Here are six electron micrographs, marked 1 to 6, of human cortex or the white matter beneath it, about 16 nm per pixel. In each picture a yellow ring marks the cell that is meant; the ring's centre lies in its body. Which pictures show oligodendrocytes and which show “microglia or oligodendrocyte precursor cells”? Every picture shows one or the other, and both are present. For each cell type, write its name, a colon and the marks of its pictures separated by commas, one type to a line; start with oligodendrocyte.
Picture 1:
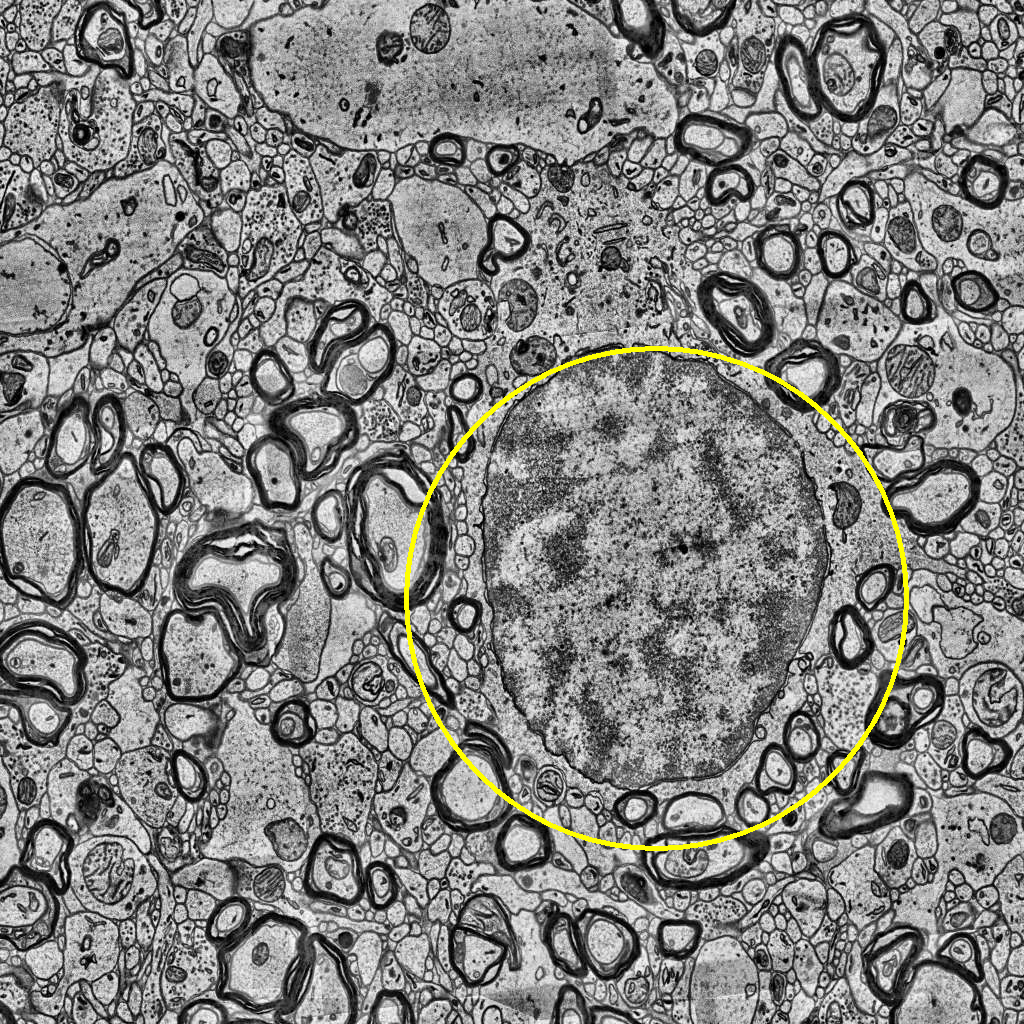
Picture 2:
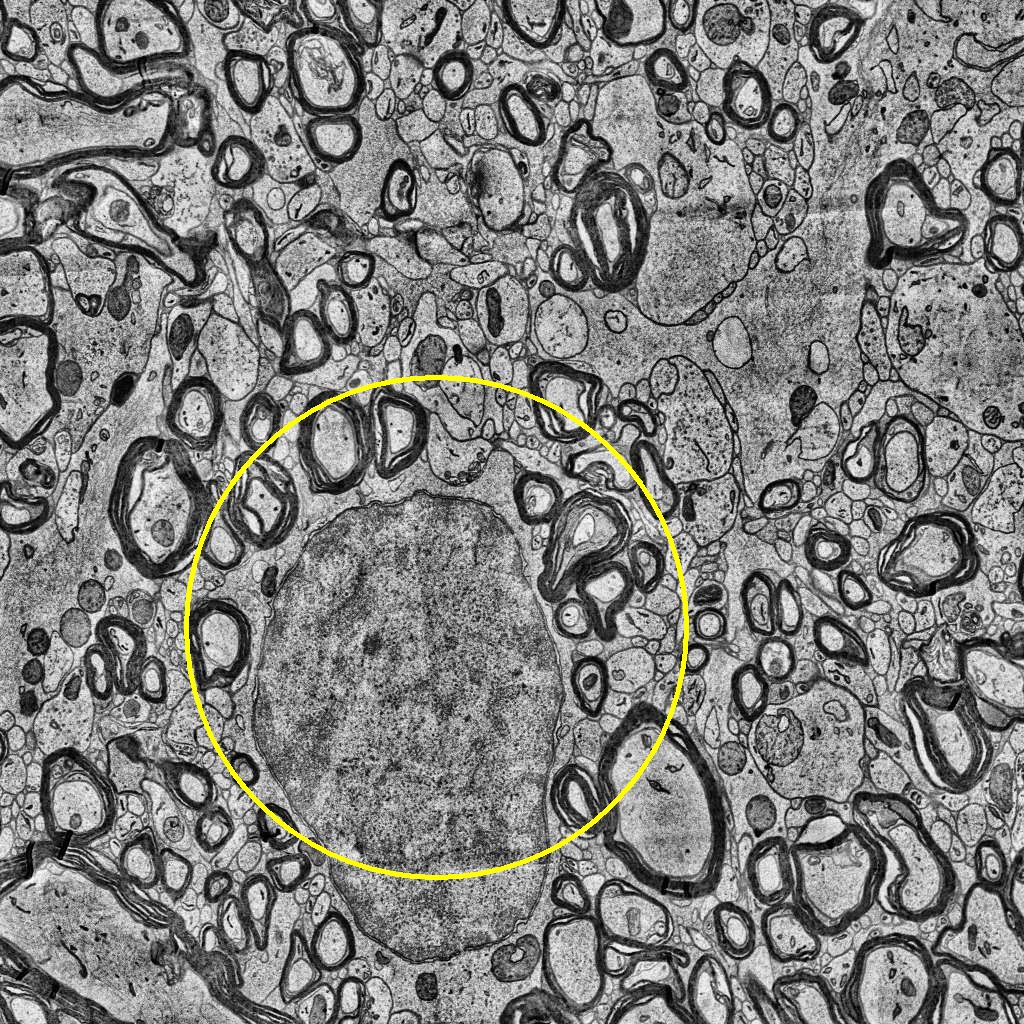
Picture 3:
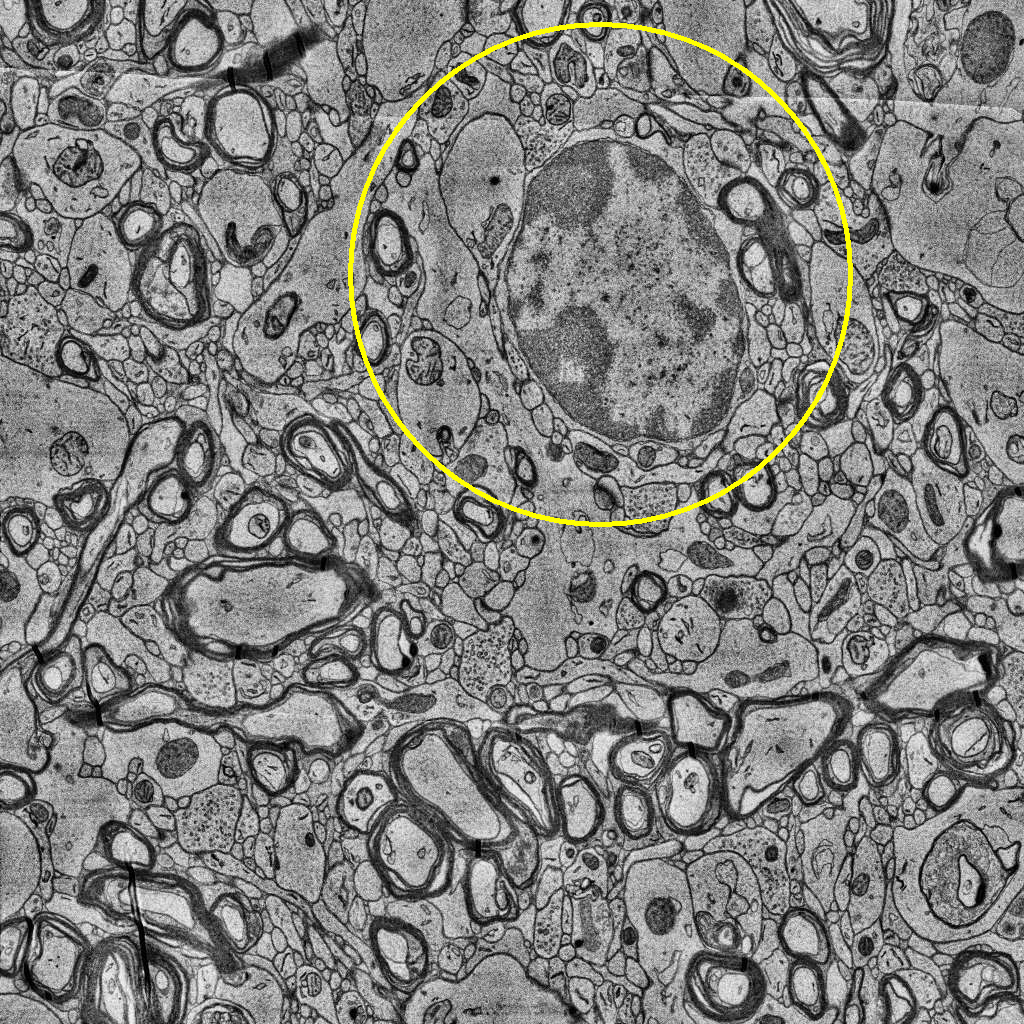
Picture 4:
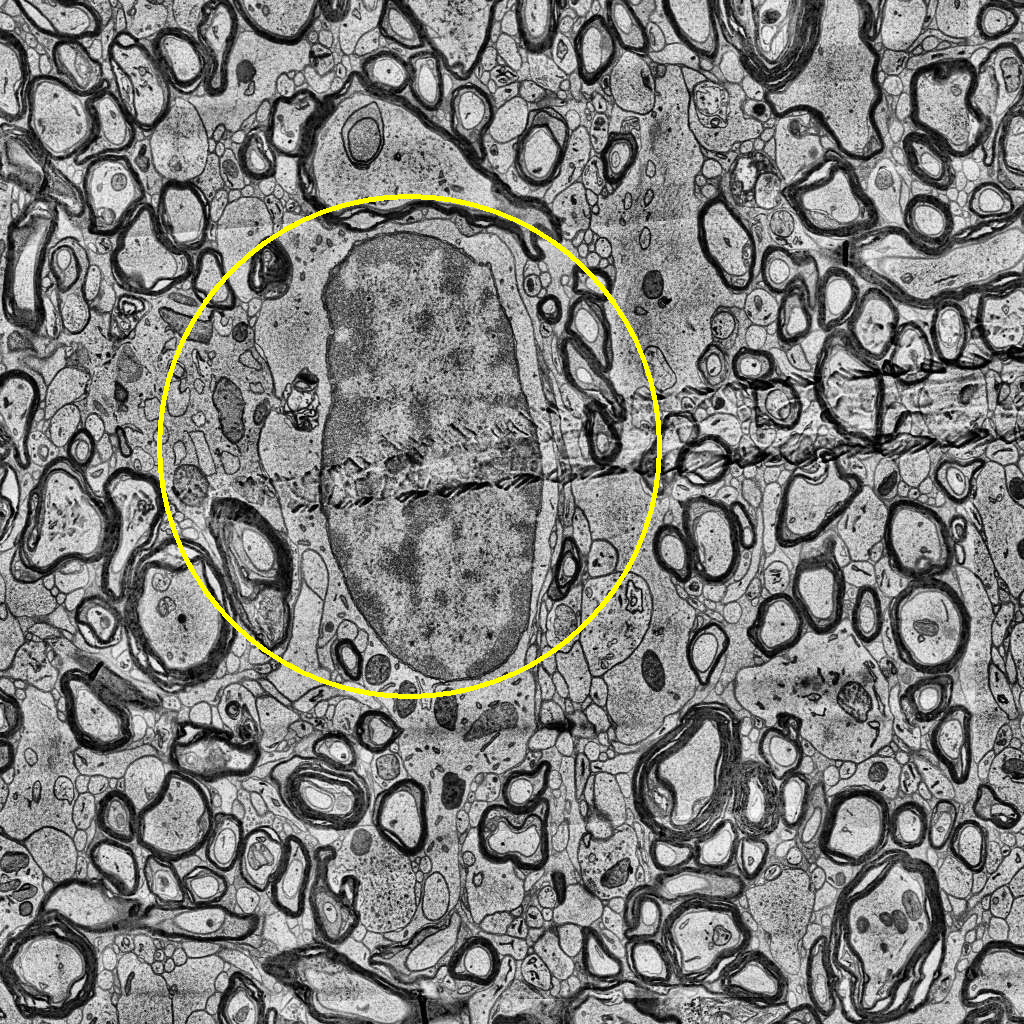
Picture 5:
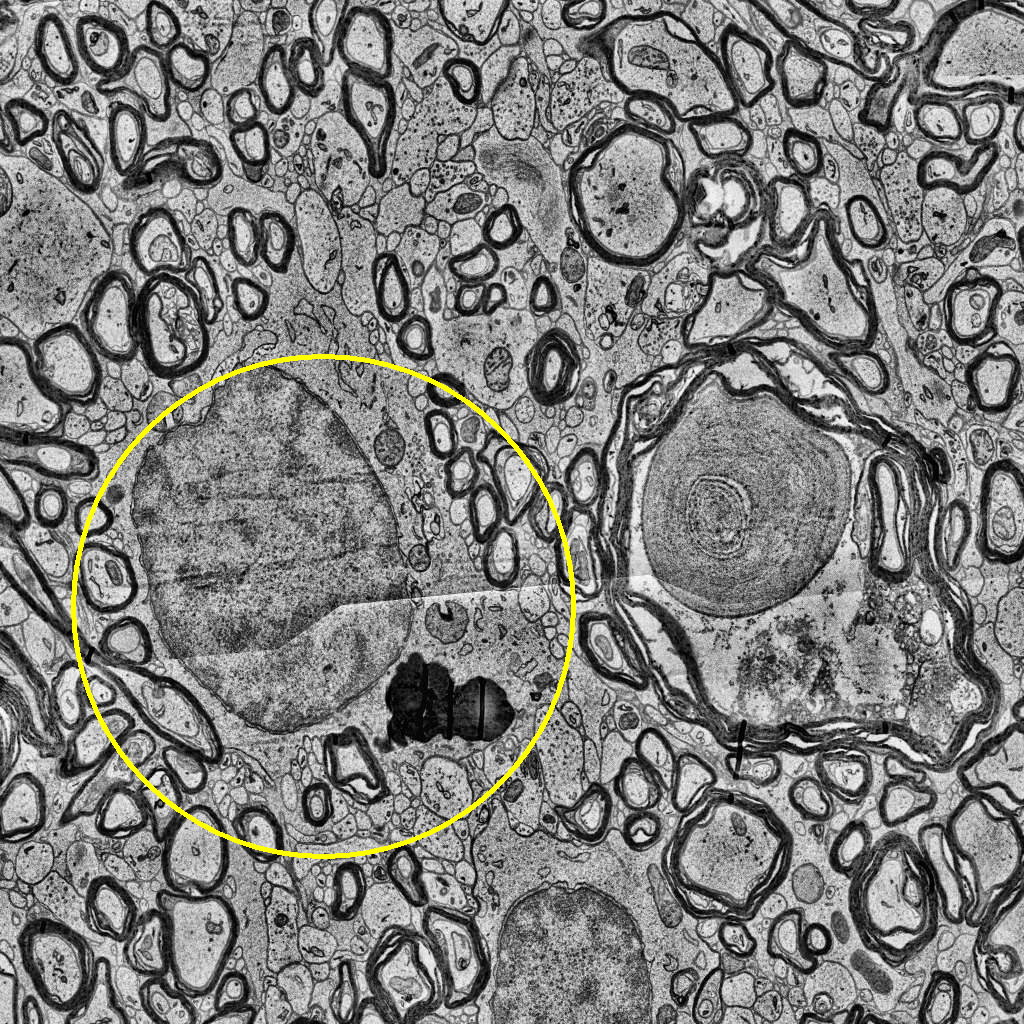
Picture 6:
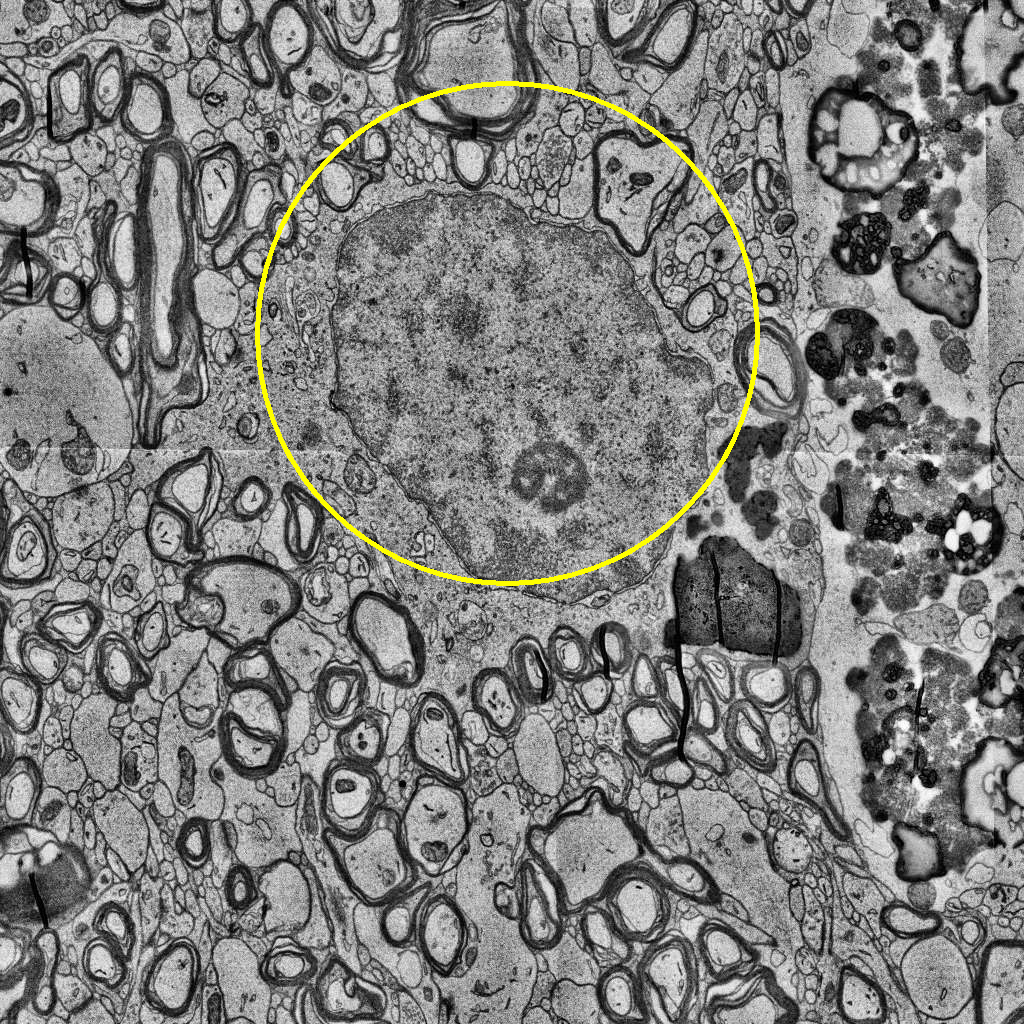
oligodendrocyte: 1, 2, 5, 6
microglia or oligodendrocyte precursor cell: 3, 4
